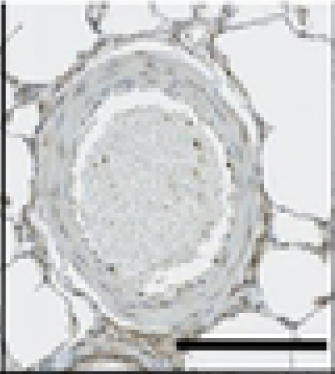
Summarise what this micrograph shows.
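This is a pulmonary artery cut across, lying among the thin walls of the lung alveoli. Its wall is thick, made of concentric layers of flattened cells around an open lumen that holds blood, and a light brown stain runs through the wall and the loose tissue outside it. The alveolar walls around are thin, with scattered blue nuclei.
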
